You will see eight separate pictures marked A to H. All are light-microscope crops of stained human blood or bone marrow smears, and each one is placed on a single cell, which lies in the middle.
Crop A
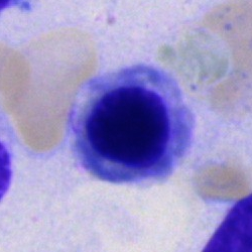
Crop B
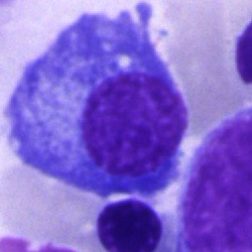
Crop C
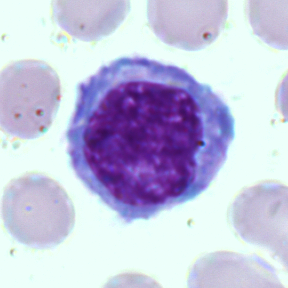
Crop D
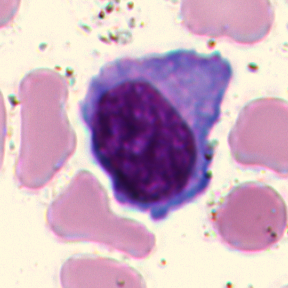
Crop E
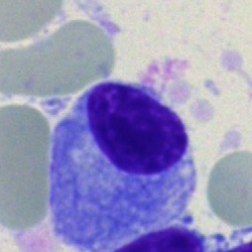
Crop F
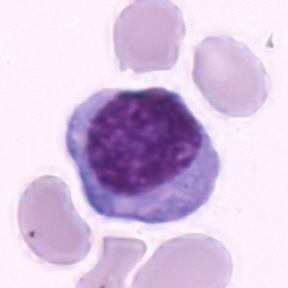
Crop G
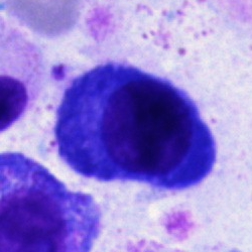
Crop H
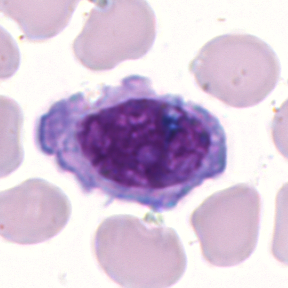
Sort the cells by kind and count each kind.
plasma cell: 7
normoblast: 1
